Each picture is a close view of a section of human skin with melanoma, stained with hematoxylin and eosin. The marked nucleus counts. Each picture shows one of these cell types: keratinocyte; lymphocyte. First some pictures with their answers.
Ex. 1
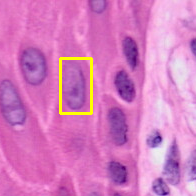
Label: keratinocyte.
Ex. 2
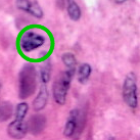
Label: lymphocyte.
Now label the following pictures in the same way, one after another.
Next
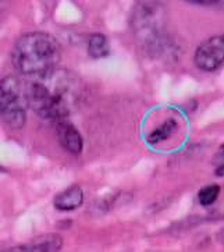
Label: lymphocyte.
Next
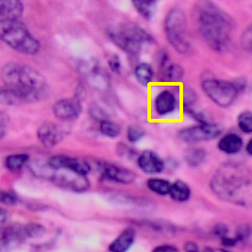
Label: lymphocyte.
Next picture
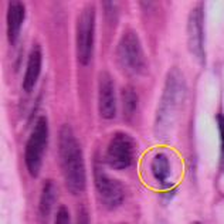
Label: lymphocyte.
